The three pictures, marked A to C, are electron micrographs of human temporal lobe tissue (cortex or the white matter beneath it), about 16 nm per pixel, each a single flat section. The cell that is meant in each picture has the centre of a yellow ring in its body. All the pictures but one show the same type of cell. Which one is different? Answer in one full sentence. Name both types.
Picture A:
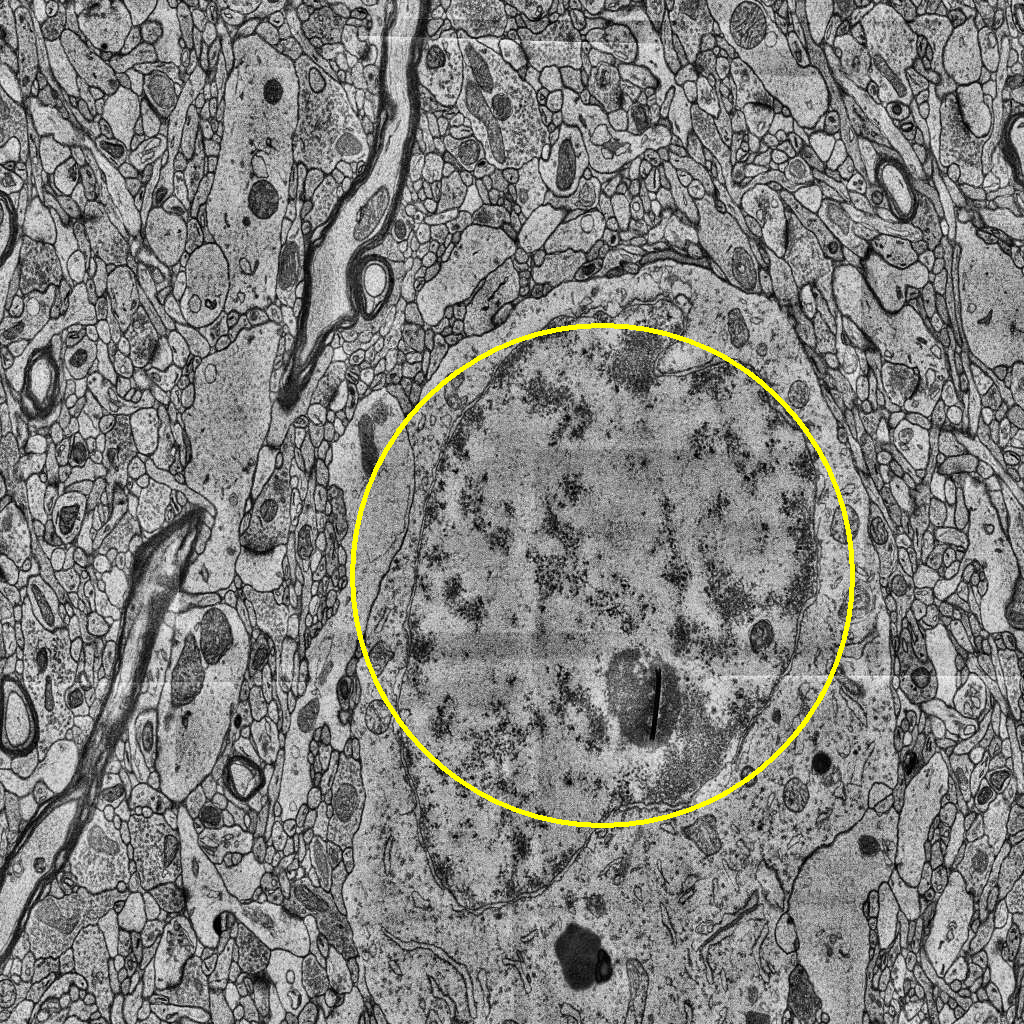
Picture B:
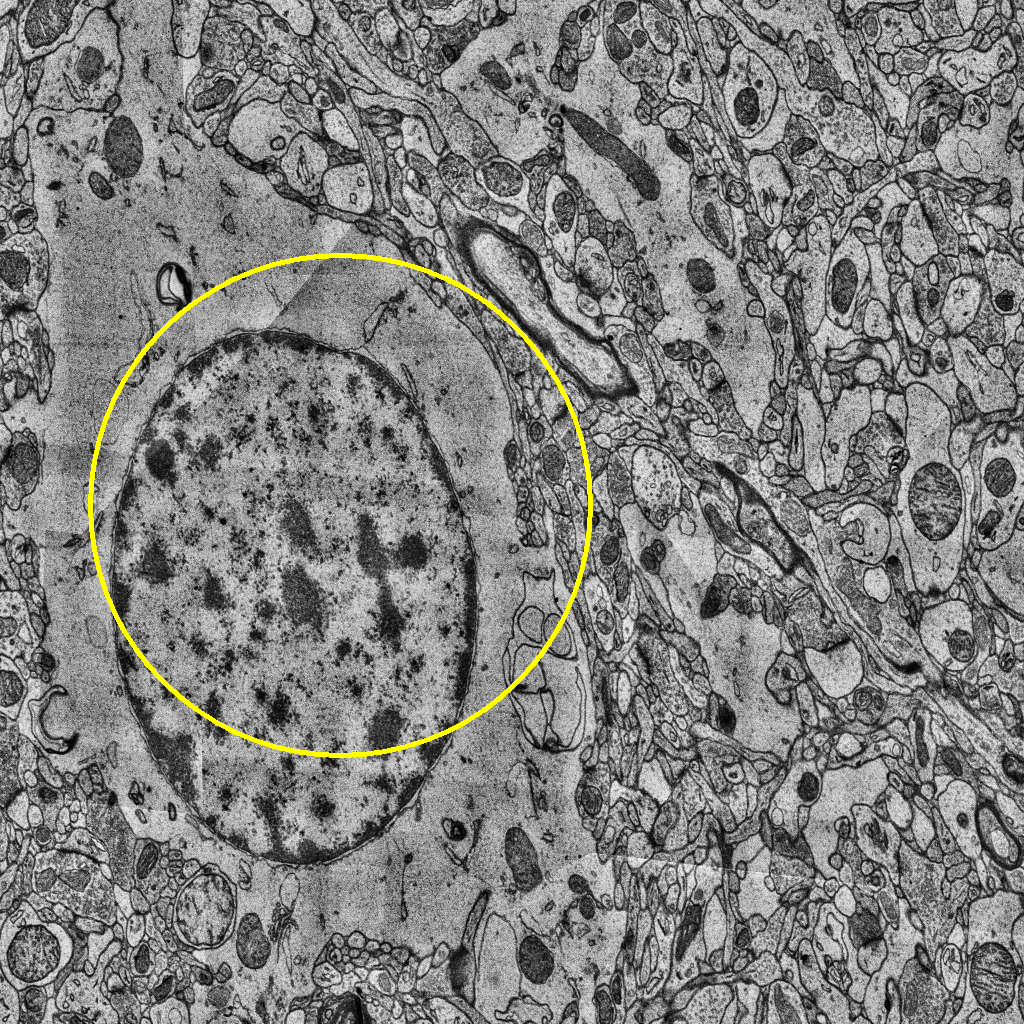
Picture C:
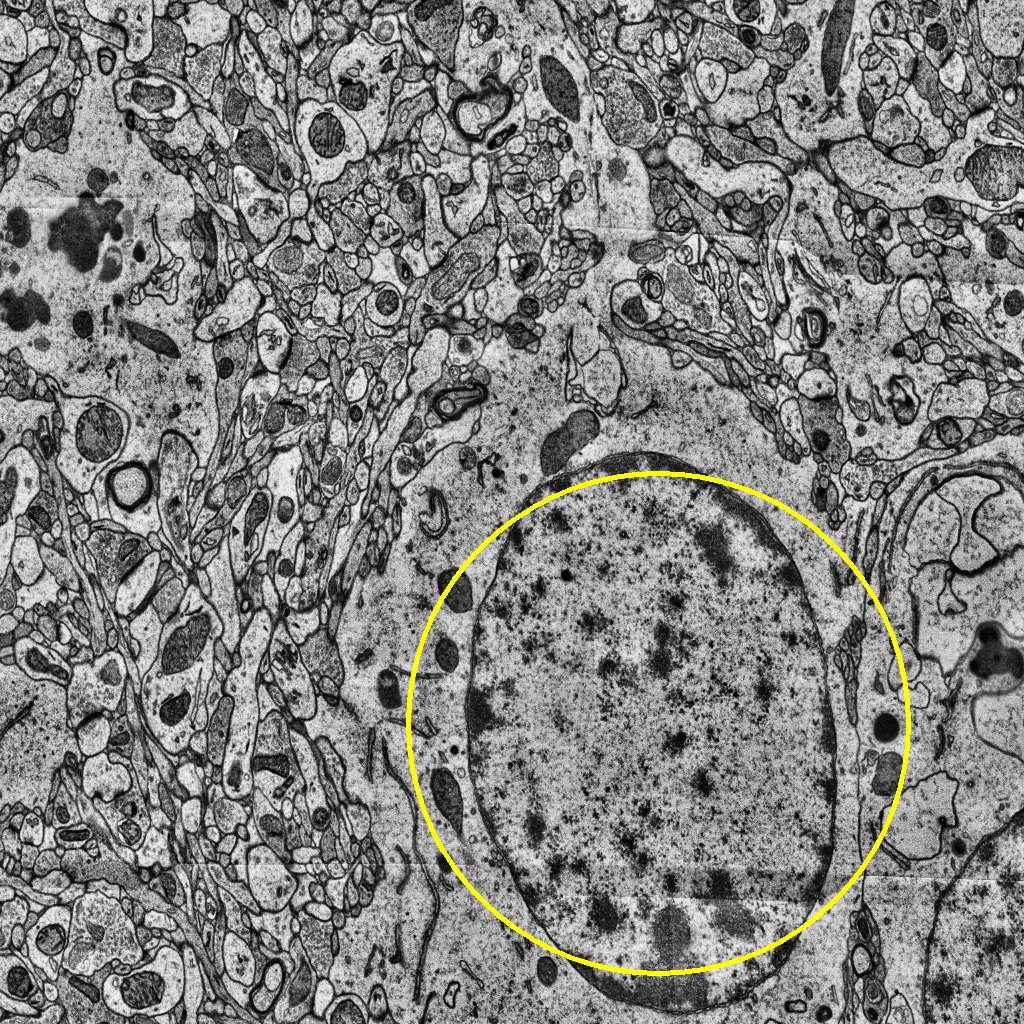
Picture A differs, because its cell is an interneuron and the rest are astrocytes.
